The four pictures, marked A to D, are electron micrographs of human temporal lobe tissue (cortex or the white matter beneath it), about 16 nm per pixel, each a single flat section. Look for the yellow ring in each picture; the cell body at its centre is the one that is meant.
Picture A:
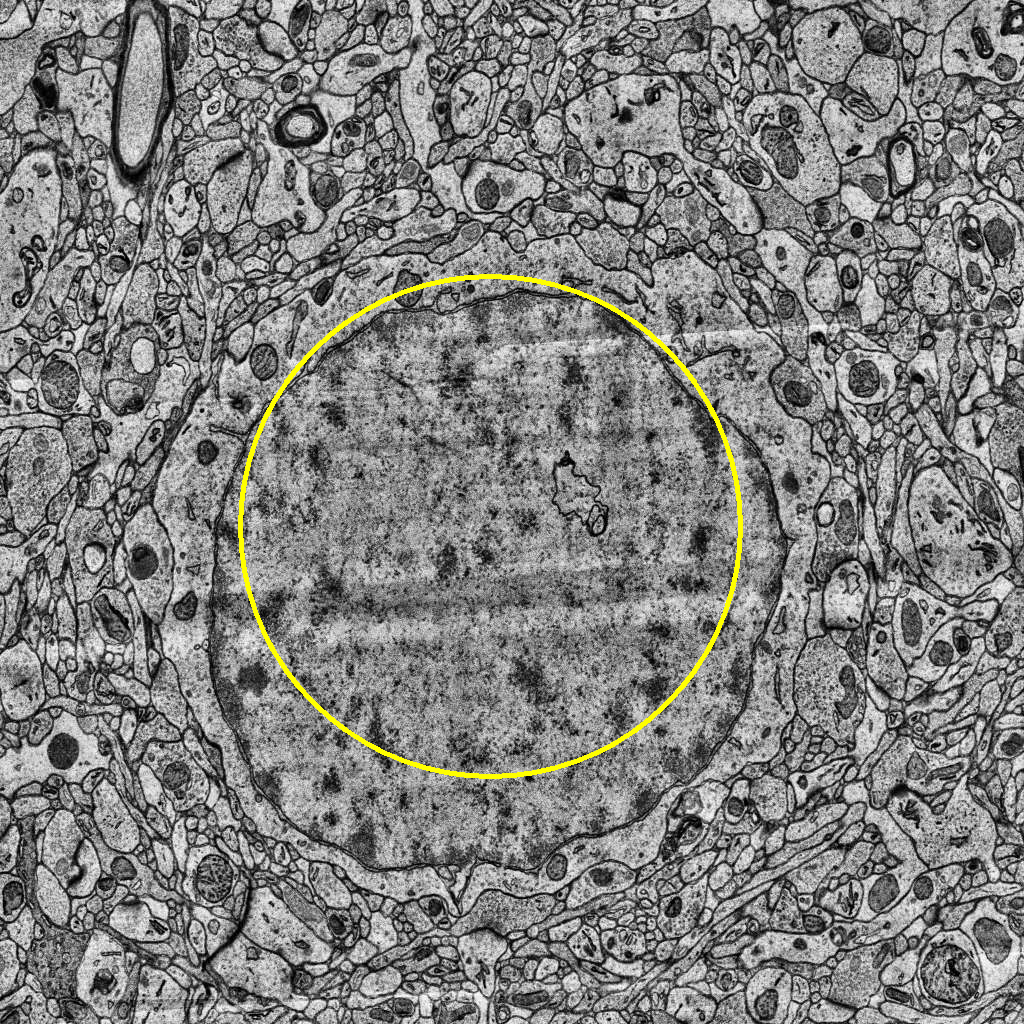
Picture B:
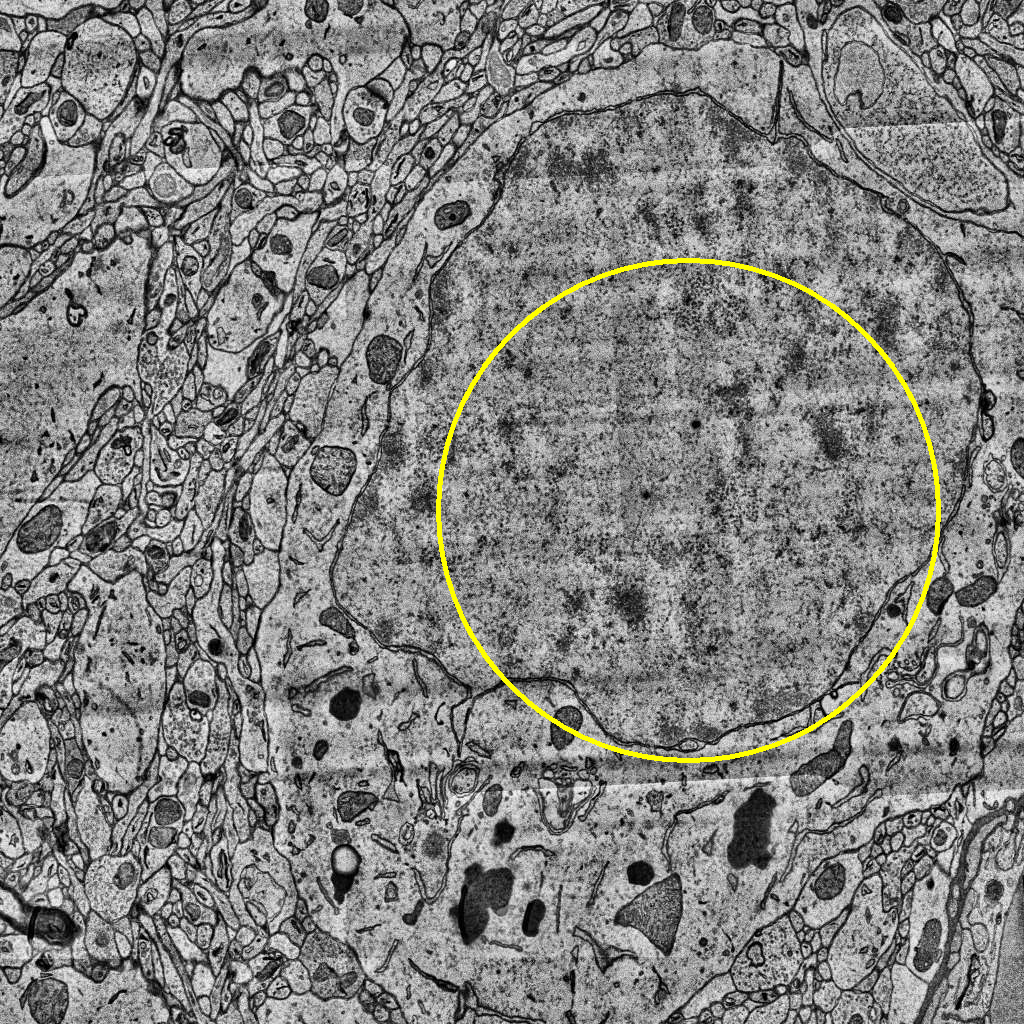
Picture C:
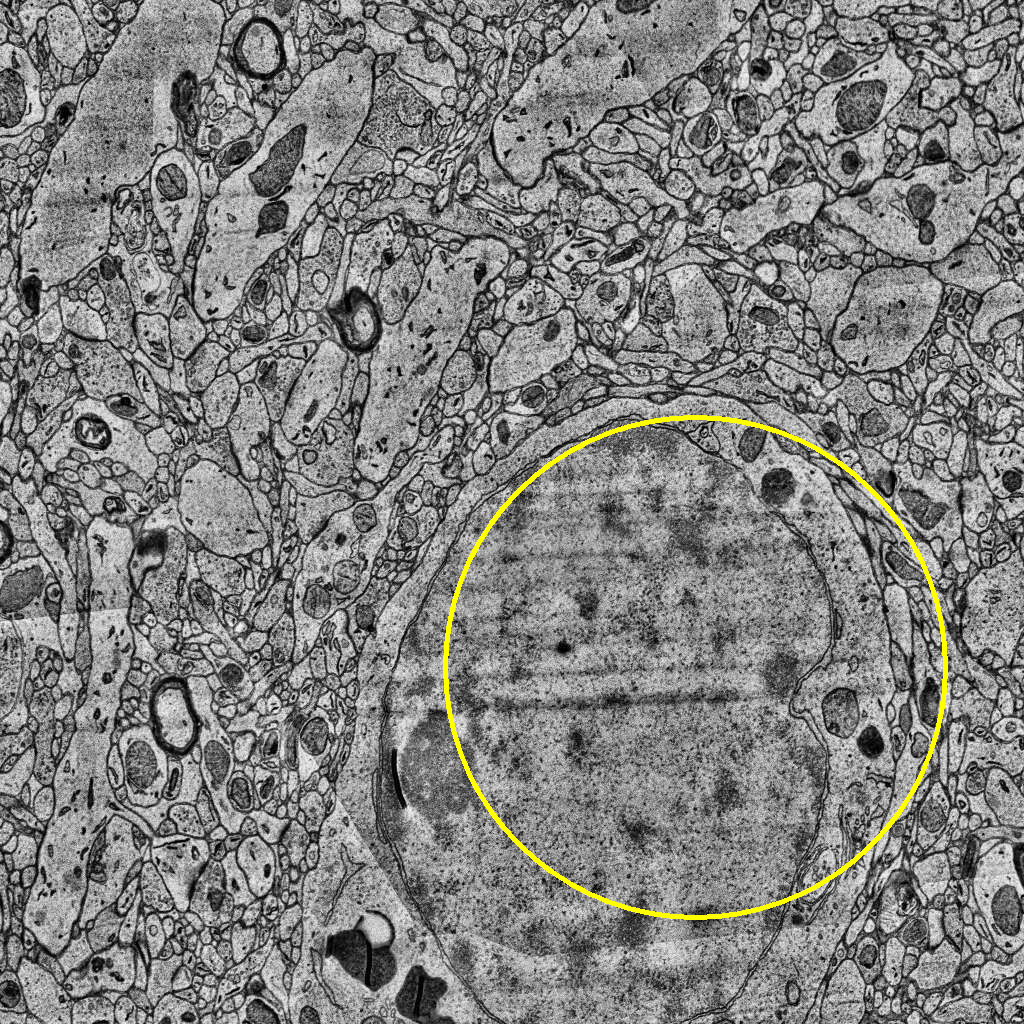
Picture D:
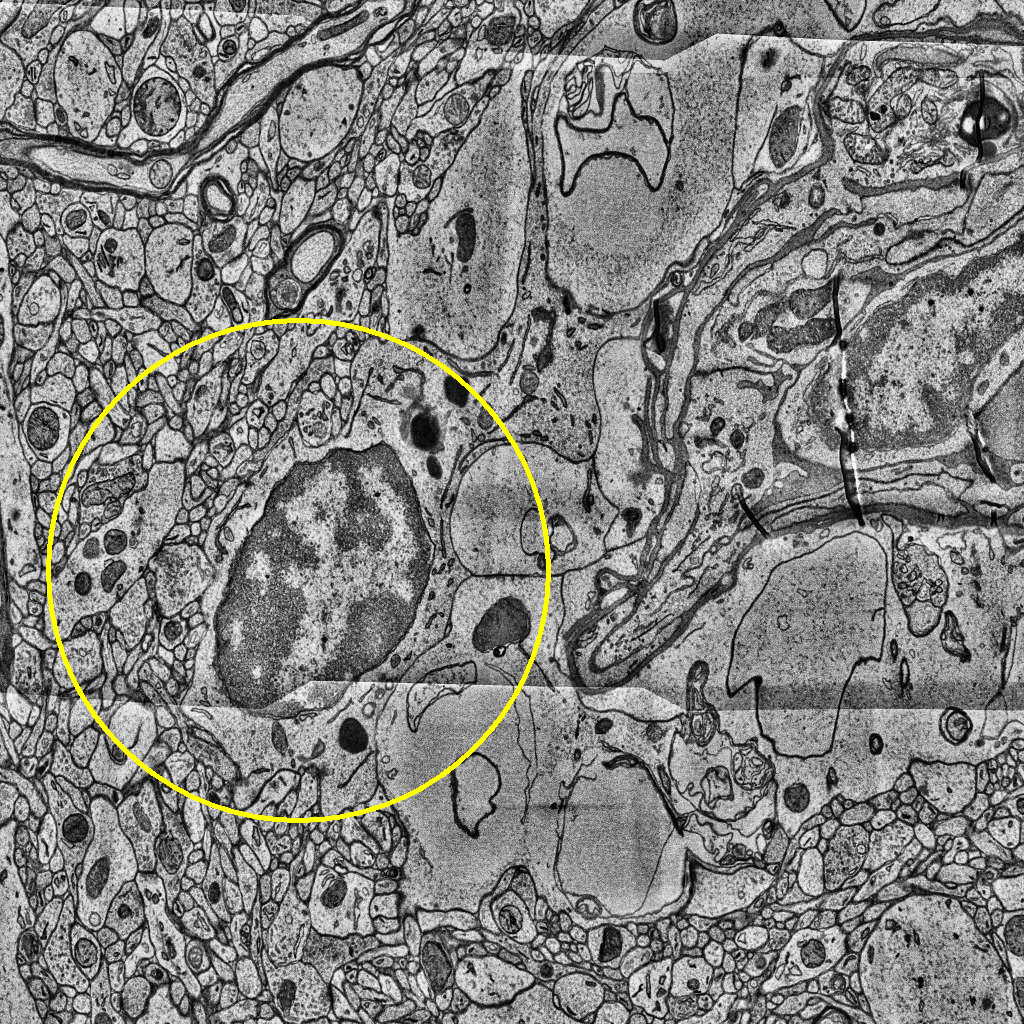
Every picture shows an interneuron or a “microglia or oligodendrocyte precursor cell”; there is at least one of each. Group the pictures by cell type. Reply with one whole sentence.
Pictures A, B and C show interneurons, while picture D shows a “microglia or oligodendrocyte precursor cell”.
